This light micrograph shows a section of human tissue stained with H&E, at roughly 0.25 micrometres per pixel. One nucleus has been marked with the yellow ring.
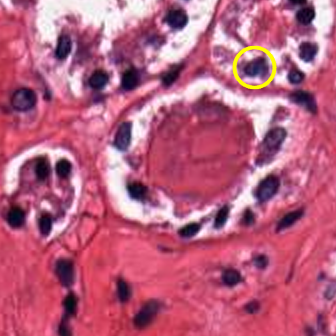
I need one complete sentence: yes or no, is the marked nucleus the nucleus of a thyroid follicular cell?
Yes, the marked nucleus is part of a thyroid follicular cell.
